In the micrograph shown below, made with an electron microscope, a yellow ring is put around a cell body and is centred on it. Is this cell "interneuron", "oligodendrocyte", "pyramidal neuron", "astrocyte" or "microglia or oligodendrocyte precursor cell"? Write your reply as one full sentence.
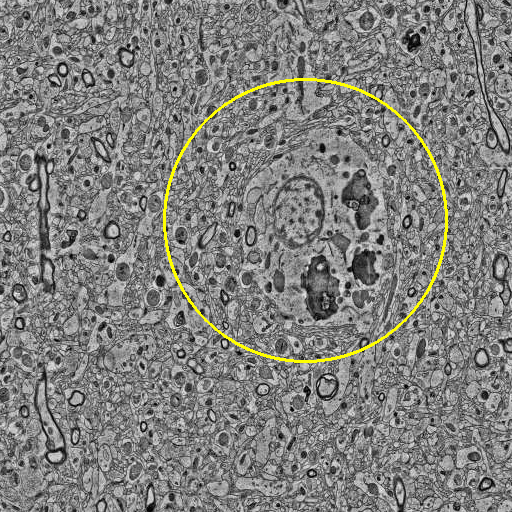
In the micrograph, an astrocyte is the cell at the centre of the yellow ring.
